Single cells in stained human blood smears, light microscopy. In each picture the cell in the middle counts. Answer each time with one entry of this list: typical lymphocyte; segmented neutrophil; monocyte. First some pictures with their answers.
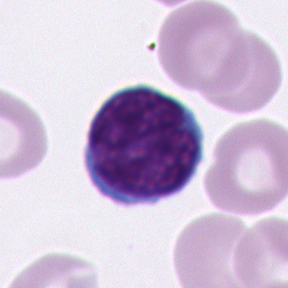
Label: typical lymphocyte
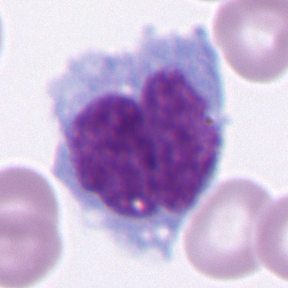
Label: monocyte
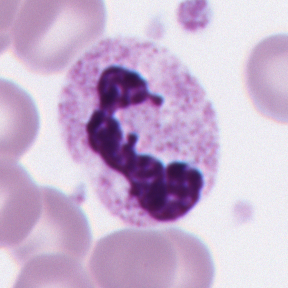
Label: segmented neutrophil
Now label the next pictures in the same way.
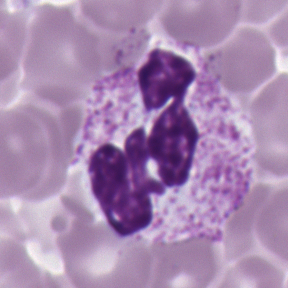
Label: segmented neutrophil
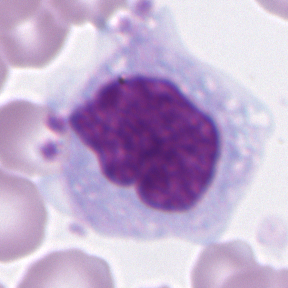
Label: monocyte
